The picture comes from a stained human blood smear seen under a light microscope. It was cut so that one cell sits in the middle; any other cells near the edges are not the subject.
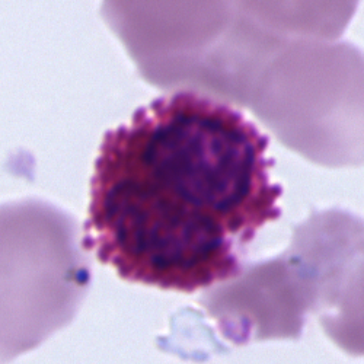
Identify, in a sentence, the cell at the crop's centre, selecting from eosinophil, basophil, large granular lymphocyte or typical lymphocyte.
The cell in the exact centre of the crop is an eosinophil.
